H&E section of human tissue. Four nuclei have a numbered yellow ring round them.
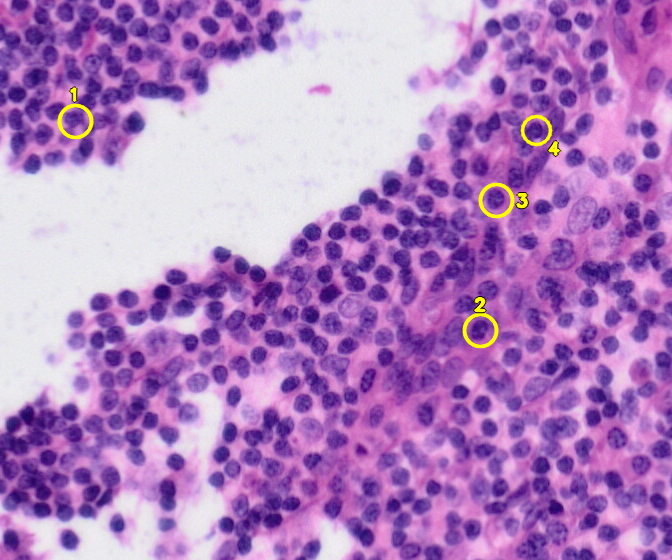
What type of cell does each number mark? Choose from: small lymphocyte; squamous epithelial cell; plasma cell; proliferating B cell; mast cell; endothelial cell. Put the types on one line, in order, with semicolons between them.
small lymphocyte; plasma cell; plasma cell; small lymphocyte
